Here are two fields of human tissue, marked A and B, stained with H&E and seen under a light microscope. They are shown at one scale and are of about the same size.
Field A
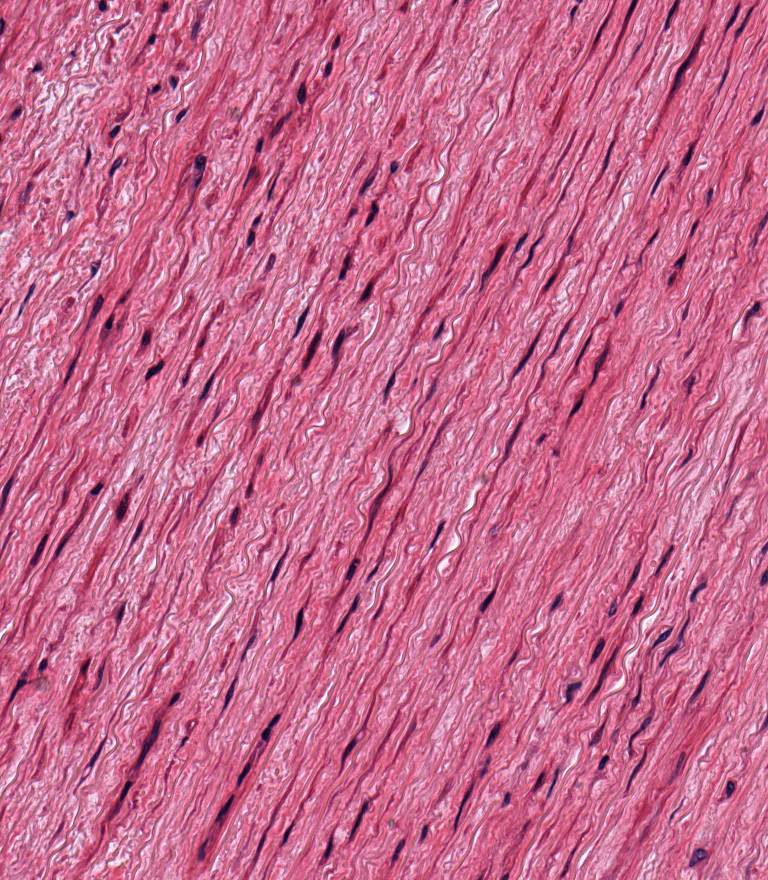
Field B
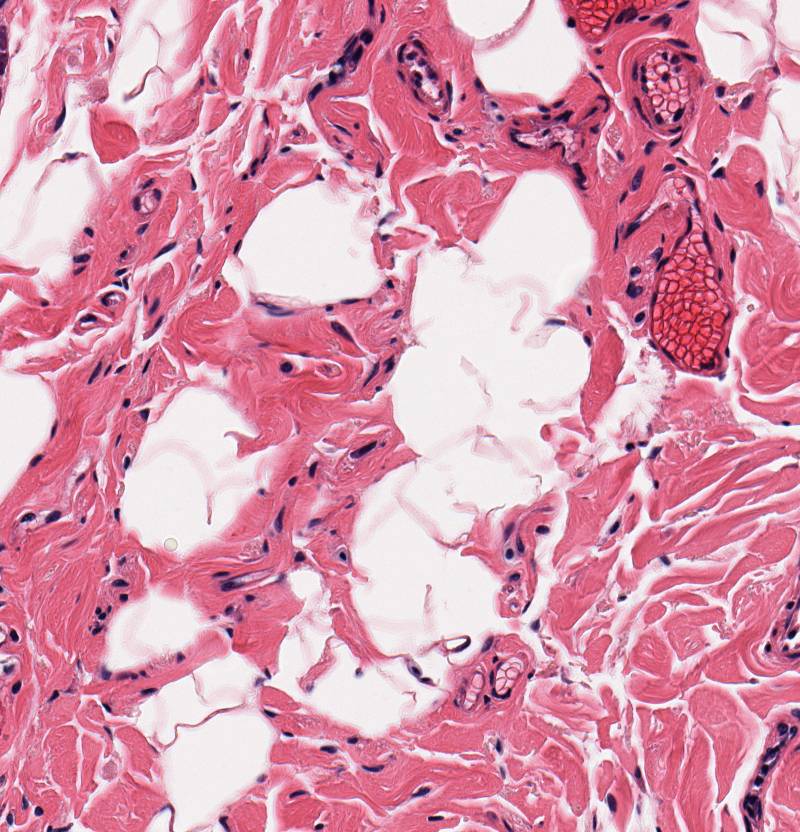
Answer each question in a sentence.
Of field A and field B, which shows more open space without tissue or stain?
It is field B in which white space covers the larger part.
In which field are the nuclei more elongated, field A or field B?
The nuclei are more elongated in field A.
